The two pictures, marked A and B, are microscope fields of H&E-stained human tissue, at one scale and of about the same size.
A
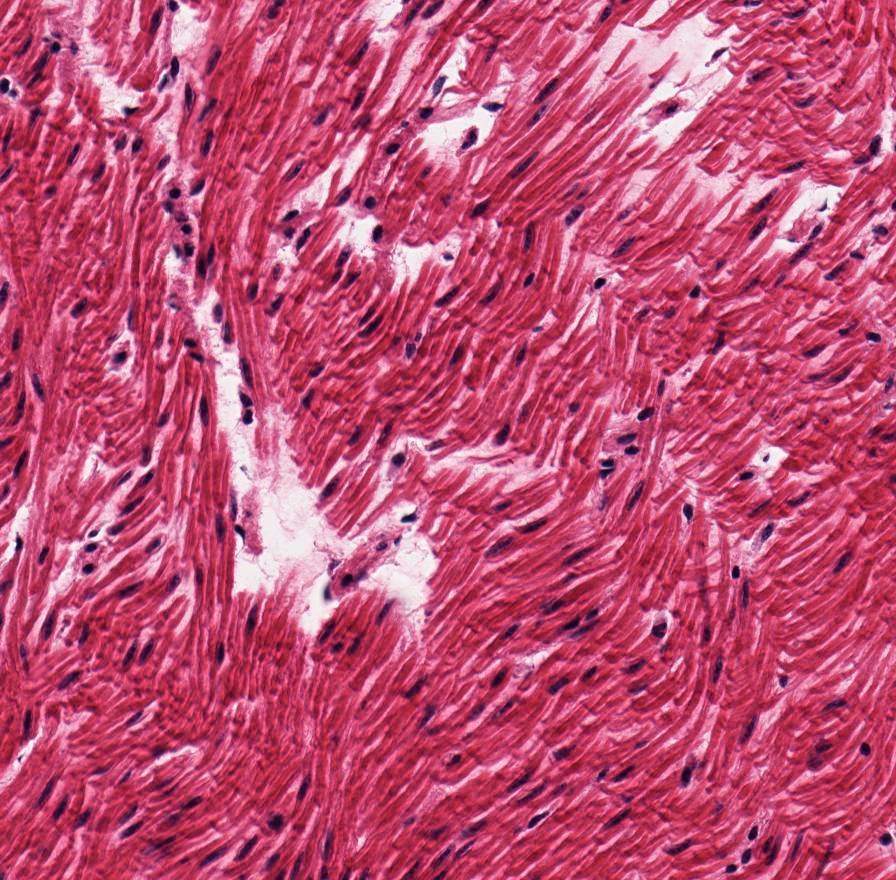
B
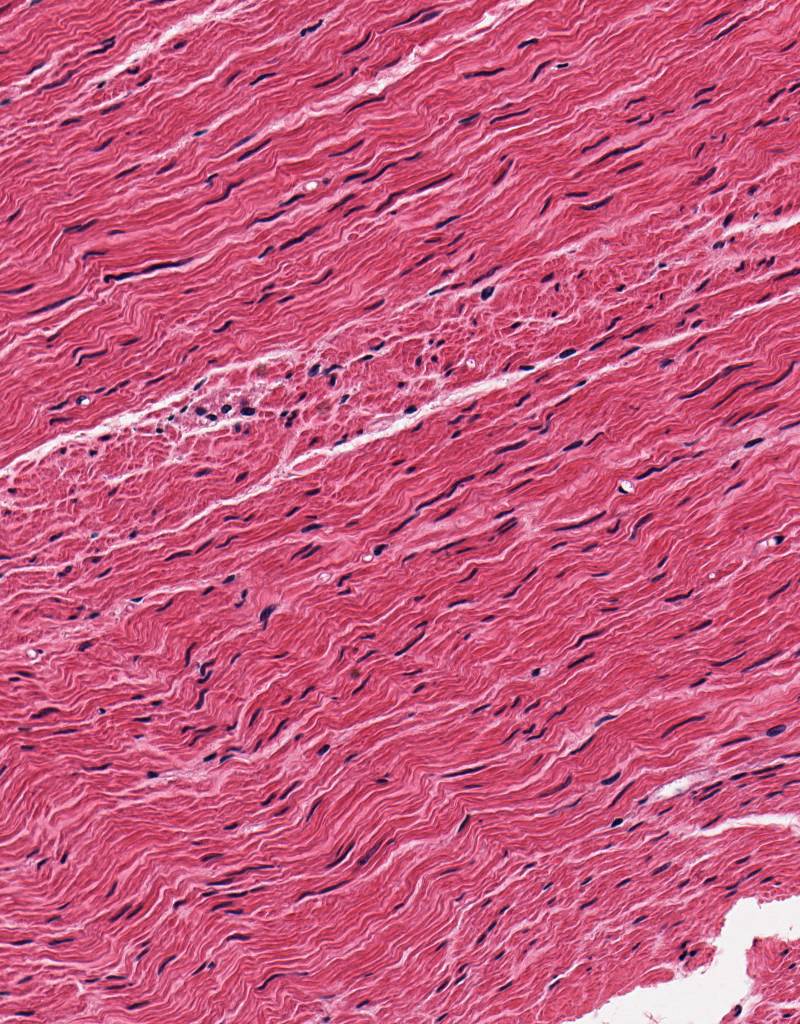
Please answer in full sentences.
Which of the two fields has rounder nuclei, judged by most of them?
On the whole the nuclei of field A are rounder than those of field B.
